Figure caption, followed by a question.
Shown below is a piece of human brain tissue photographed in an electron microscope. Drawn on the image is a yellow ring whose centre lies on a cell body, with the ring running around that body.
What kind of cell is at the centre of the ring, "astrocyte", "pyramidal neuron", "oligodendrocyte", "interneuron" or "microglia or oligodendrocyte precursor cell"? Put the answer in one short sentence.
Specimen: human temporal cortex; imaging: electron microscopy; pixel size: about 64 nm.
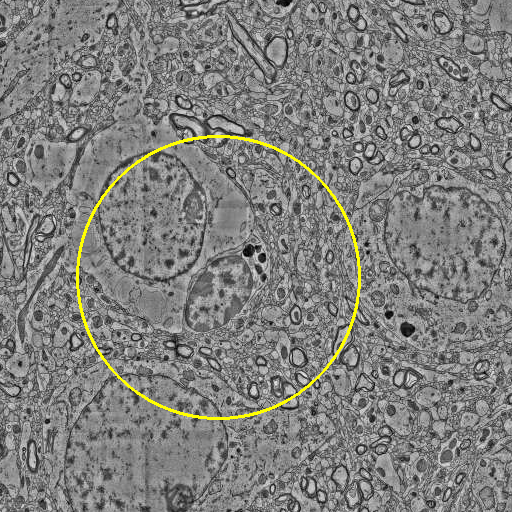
The ring marks the cell body of a microglial cell or oligodendrocyte precursor cell.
